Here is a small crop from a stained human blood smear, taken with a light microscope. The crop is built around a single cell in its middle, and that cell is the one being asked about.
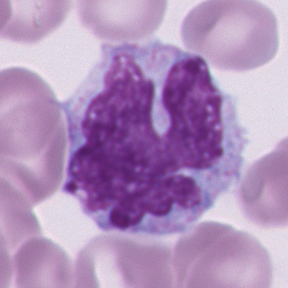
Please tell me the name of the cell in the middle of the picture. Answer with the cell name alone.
monocyte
